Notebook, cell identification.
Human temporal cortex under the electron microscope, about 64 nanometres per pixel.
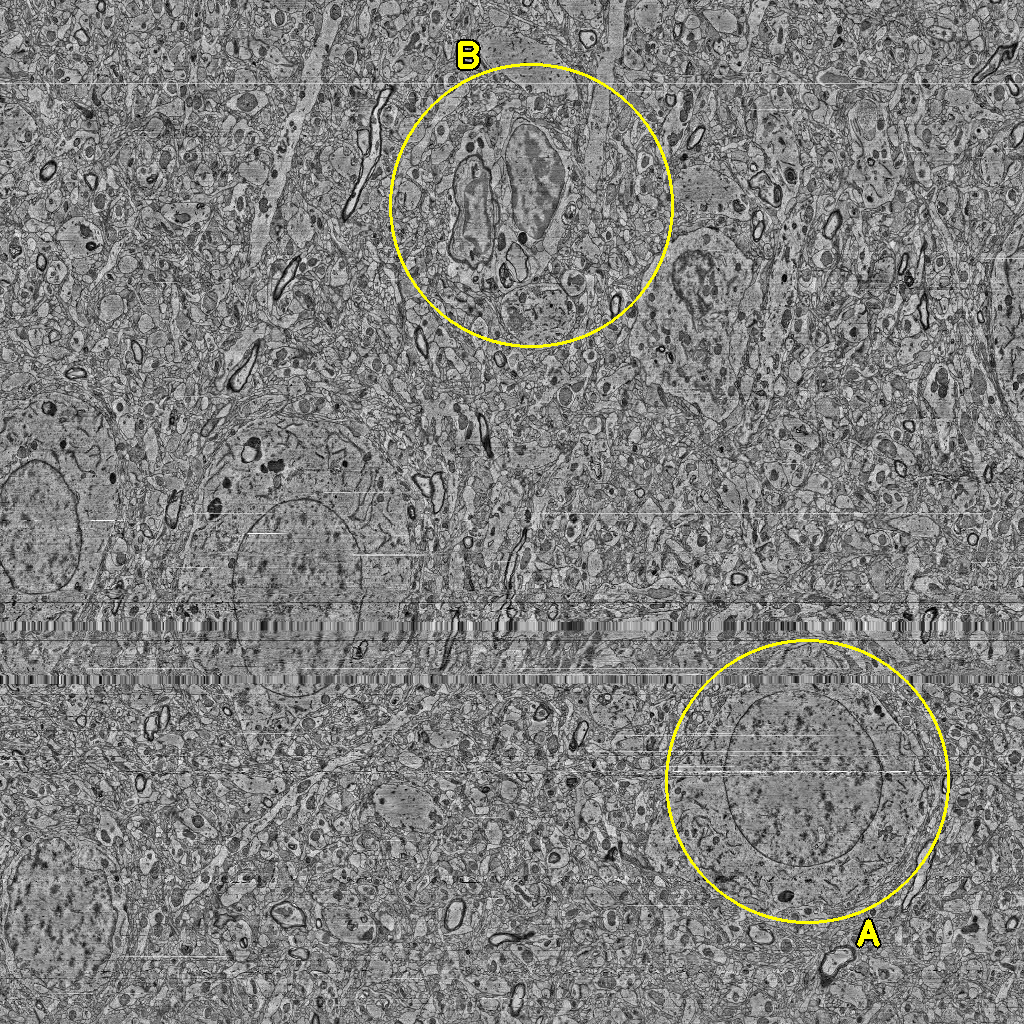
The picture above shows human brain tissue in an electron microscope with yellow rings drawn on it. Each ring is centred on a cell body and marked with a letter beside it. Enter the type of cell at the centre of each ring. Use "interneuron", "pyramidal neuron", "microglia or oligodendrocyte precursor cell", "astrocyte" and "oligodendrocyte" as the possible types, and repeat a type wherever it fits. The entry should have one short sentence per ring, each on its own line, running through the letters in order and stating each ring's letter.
The cell body in ring A belongs to a pyramidal neuron.
The cell body in ring B belongs to a microglial cell or oligodendrocyte precursor cell.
